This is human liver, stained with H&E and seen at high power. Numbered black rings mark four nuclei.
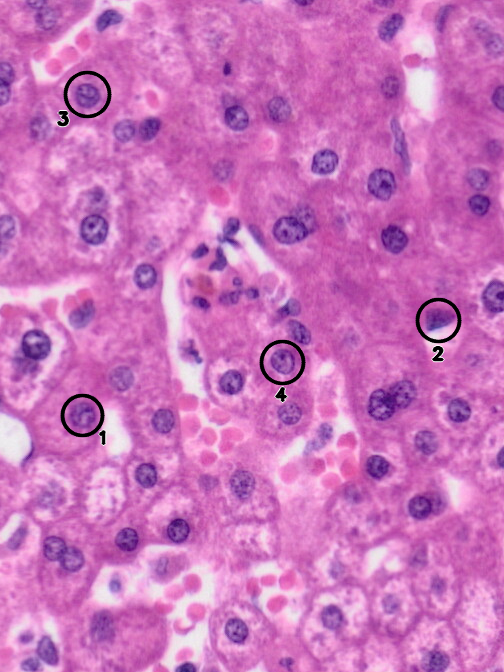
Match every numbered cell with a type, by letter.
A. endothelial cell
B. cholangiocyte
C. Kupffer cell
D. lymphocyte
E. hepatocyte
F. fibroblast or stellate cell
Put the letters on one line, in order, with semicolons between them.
E; A; E; E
